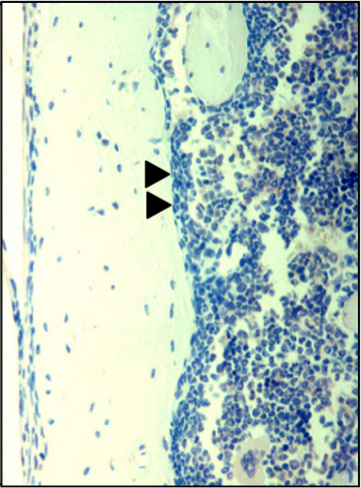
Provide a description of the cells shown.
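This is again the border between bone and the marrow cavity. The pale bone matrix on the left holds small elongated blue nuclei. The cells lining the bone surface next to the marrow show blue nuclei but no brown colour in their cytoplasm. To the right the marrow is crowded with small round blue-staining nuclei.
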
